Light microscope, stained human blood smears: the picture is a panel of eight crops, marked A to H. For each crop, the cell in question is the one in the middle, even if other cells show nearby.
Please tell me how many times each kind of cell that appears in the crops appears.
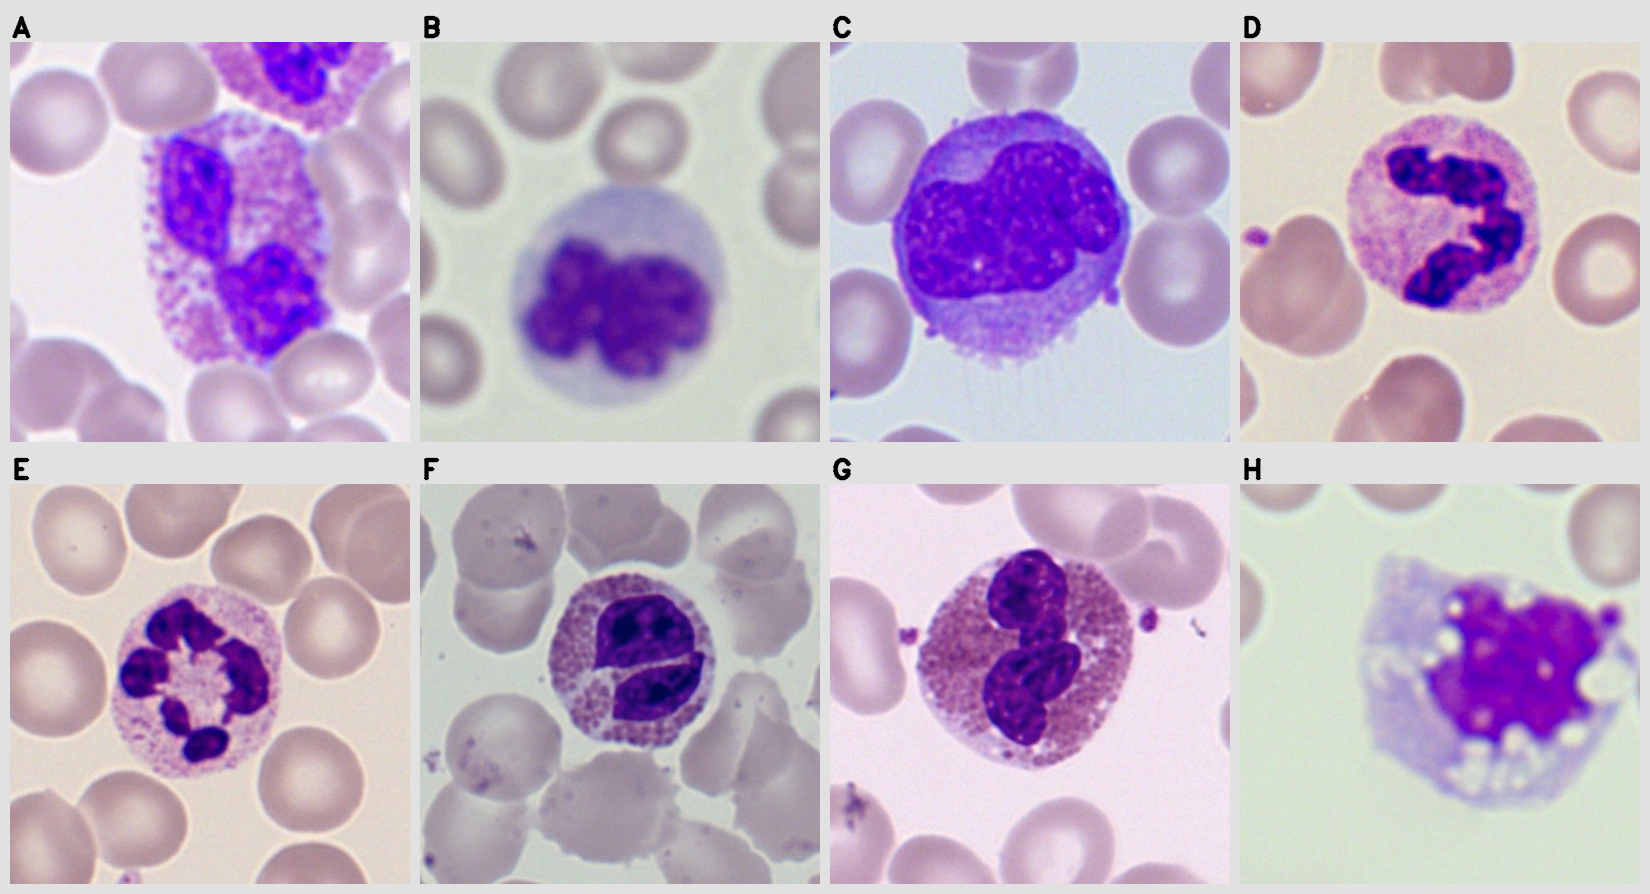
eosinophil: 3
monocyte: 3
segmented neutrophil: 2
